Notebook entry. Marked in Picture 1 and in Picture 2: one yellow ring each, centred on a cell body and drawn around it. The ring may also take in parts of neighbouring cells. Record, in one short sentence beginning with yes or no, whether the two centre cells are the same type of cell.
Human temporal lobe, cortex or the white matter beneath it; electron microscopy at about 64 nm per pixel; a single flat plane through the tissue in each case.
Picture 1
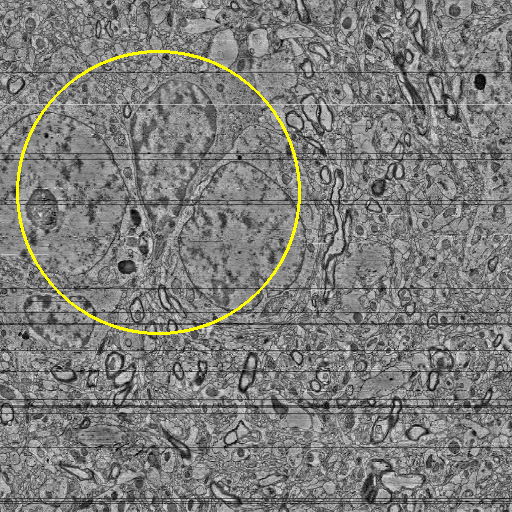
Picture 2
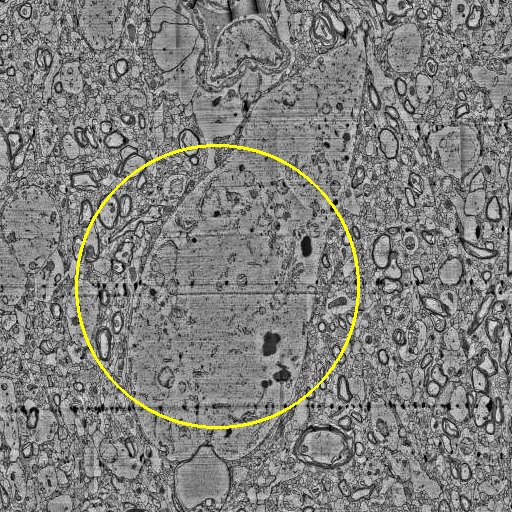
No, they are two types of cell.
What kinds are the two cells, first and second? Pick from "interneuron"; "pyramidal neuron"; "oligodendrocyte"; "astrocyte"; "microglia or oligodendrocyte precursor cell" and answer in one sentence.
The second picture holds a pyramidal neuron in its ring, and the first holds an oligodendrocyte.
